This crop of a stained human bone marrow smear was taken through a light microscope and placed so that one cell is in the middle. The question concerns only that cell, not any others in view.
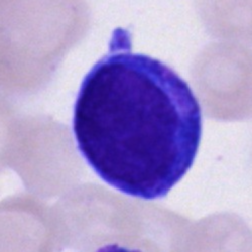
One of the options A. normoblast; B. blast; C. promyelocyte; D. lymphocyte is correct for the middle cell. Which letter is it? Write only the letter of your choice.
B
